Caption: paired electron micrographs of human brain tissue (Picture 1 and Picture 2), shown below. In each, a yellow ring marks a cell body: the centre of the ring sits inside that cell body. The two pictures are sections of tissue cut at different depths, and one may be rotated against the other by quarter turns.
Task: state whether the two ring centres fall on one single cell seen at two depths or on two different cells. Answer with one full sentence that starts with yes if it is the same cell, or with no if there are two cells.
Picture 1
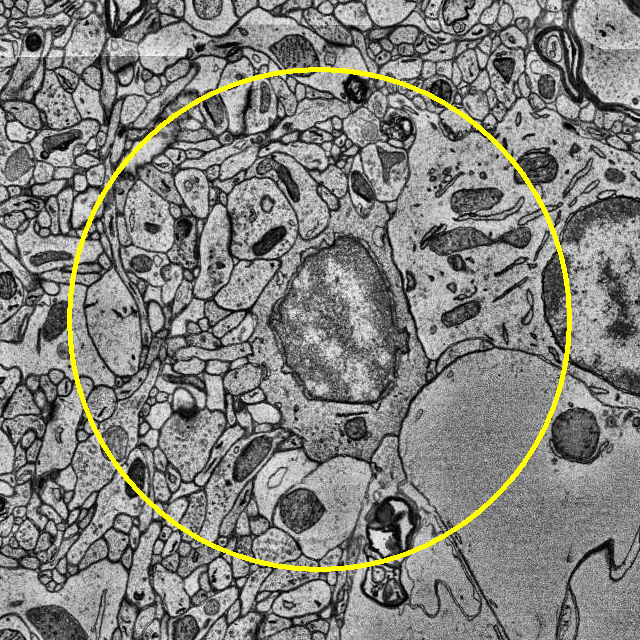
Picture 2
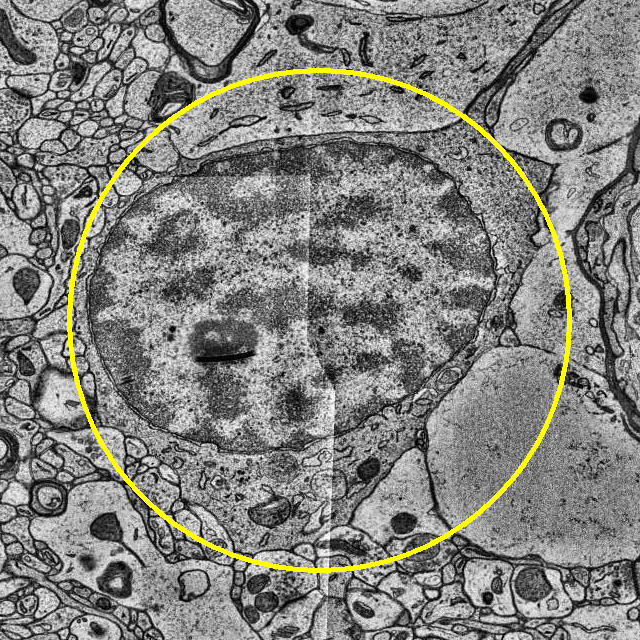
Yes, the two rings belong to one cell, not to two.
